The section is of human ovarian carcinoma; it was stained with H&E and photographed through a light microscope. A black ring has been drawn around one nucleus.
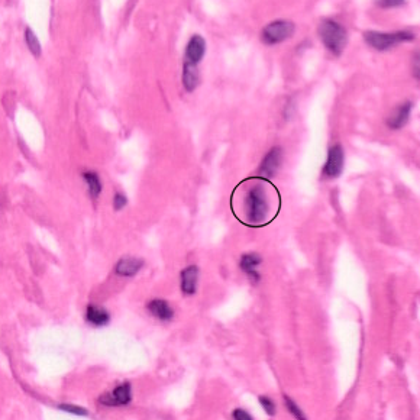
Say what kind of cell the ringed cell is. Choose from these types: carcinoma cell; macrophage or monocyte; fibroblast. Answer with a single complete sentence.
In the context of this tissue, the ringed cell is a fibroblast.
